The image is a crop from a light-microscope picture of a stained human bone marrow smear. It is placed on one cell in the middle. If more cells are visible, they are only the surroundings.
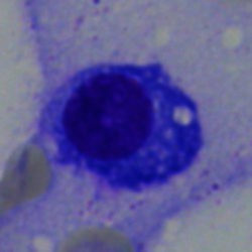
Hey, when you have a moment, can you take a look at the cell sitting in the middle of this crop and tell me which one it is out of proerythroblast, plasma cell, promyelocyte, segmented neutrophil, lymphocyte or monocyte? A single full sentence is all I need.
Answering briefly, the cell in the middle is a plasma cell.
